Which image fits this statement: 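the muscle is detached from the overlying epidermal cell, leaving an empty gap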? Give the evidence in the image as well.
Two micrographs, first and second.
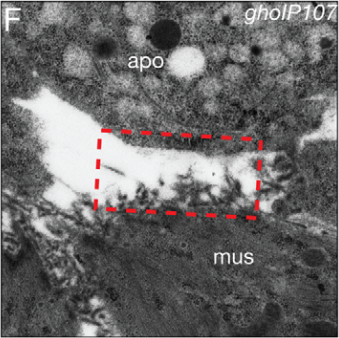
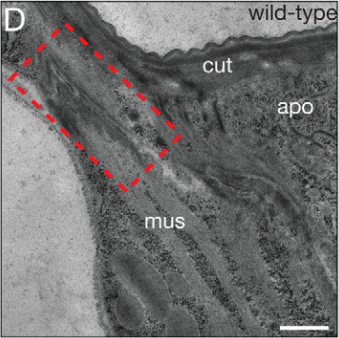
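First image: a wide electron-lucent gap with loose fibrous debris lies between the cell and the muscle. Second image: the muscle abuts the epidermal cell closely along a dense contact zone without a gap.
Answer: the first image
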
